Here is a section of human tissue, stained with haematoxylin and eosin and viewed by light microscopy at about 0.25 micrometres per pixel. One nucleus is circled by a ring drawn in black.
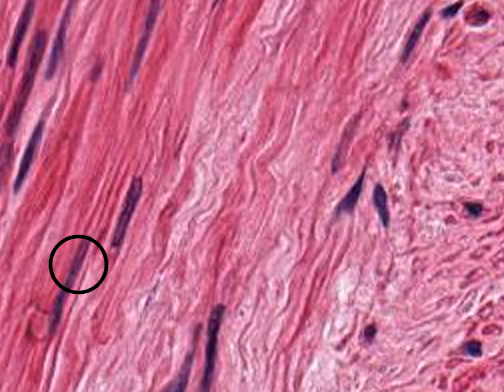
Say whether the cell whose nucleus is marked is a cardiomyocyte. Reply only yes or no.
no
